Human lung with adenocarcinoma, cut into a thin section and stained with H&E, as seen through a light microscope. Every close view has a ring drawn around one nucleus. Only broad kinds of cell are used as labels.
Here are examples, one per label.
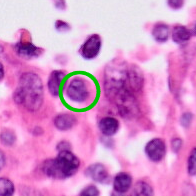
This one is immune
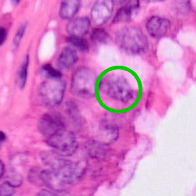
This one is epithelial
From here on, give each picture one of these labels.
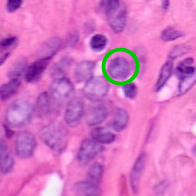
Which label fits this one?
epithelial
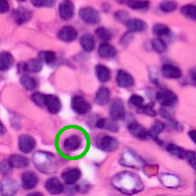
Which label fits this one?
immune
